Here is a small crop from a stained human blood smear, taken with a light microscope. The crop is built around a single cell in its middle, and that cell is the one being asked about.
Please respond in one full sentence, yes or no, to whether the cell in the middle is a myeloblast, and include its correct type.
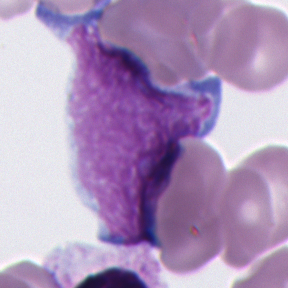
Yes, this crop has a myeloblast at its centre.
